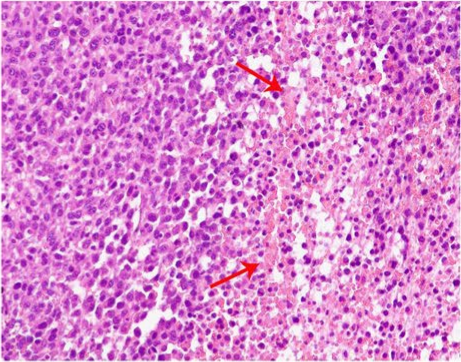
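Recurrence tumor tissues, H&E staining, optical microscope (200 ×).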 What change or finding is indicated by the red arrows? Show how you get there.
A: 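The arrows point to a pink-red zone with loosened, sparse cells. This zone contrasts with the dense sheets of blue-purple nuclei to its left. On this evidence: necrosis areas.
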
